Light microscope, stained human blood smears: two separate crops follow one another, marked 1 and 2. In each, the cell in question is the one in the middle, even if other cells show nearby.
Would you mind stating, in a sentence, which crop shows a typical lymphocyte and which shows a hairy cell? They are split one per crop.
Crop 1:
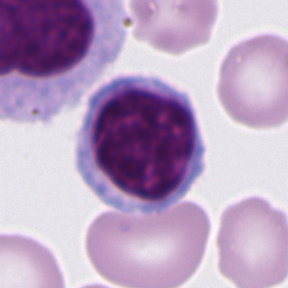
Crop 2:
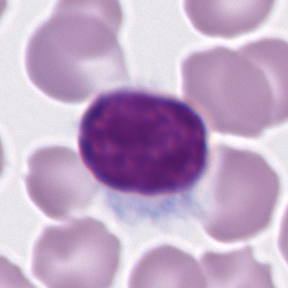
Recognised in crop 1 is a typical lymphocyte, and recognised in crop 2 is a hairy cell.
